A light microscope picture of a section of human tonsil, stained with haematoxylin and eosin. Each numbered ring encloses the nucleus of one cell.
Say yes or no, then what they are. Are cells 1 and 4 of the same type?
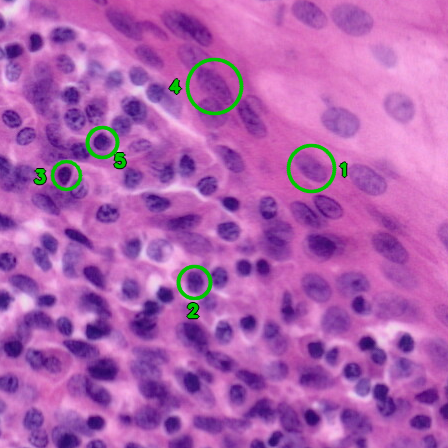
Yes, cells 1 and 4 are two squamous epithelial cells.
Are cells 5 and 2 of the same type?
Yes, with respect to identity, cells 5 and 2 are both plasma cells.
